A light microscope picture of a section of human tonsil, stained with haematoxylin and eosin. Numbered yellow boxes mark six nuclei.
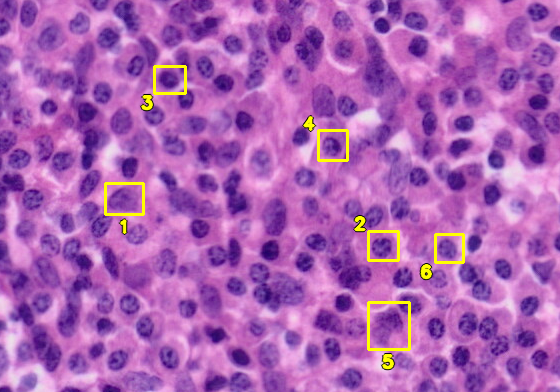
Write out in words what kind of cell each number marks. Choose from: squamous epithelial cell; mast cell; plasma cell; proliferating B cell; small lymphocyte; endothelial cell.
Cell 1 is a squamous epithelial cell, cell 2 is a plasma cell, cell 3 is a plasma cell, cell 4 is a plasma cell, cell 5 is a squamous epithelial cell and cell 6 is a plasma cell.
